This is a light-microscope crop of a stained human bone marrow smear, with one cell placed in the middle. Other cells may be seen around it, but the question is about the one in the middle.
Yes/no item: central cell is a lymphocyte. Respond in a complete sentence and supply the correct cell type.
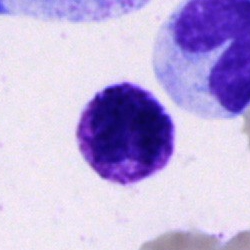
No, not a lymphocyte: the cell in the middle of this crop is a basophil.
